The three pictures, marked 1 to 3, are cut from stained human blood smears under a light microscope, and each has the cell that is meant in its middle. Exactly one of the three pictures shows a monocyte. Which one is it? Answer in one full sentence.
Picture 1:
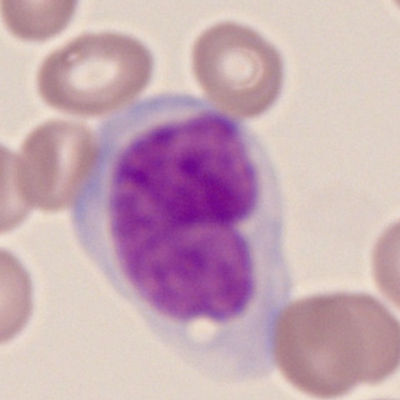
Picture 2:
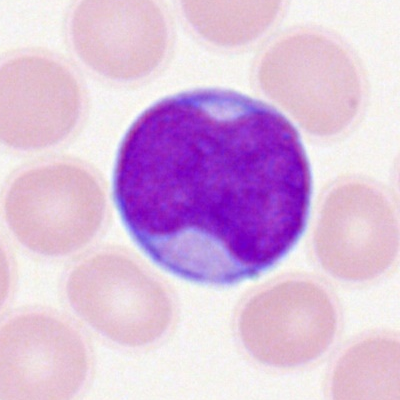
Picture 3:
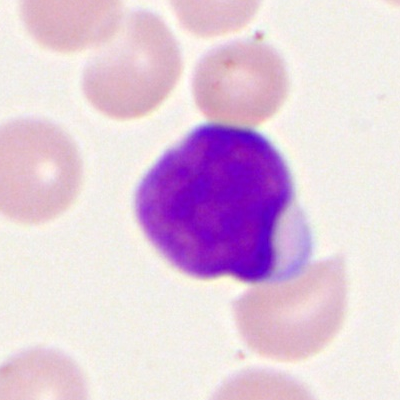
The monocyte is the one in picture 1.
